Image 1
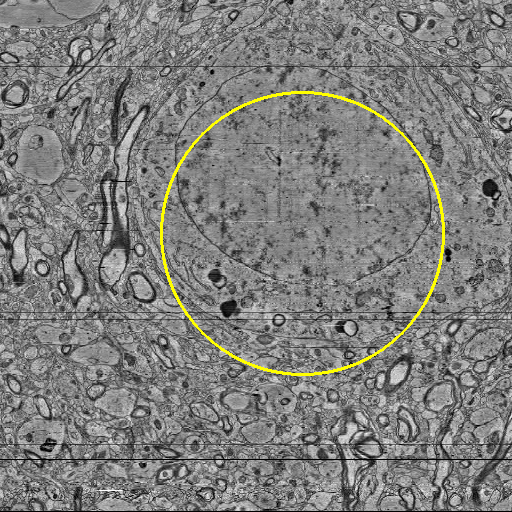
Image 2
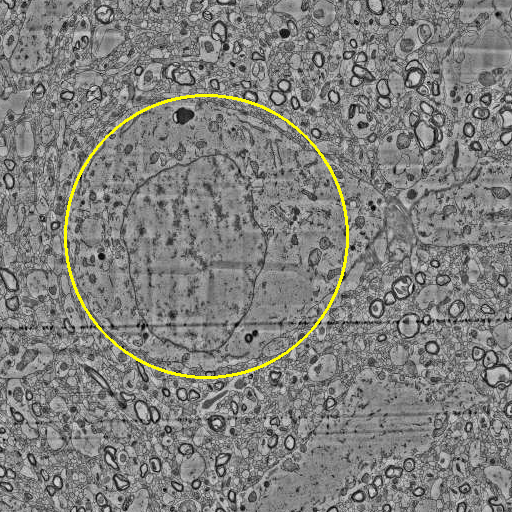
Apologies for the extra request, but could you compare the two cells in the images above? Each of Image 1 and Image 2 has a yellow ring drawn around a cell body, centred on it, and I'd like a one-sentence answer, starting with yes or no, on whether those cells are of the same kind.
Yes, both cells are of the same kind.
